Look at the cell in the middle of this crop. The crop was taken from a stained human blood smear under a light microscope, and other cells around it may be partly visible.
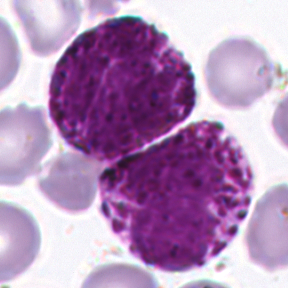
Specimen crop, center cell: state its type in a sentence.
In this smear crop, the middle cell is a basophil.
